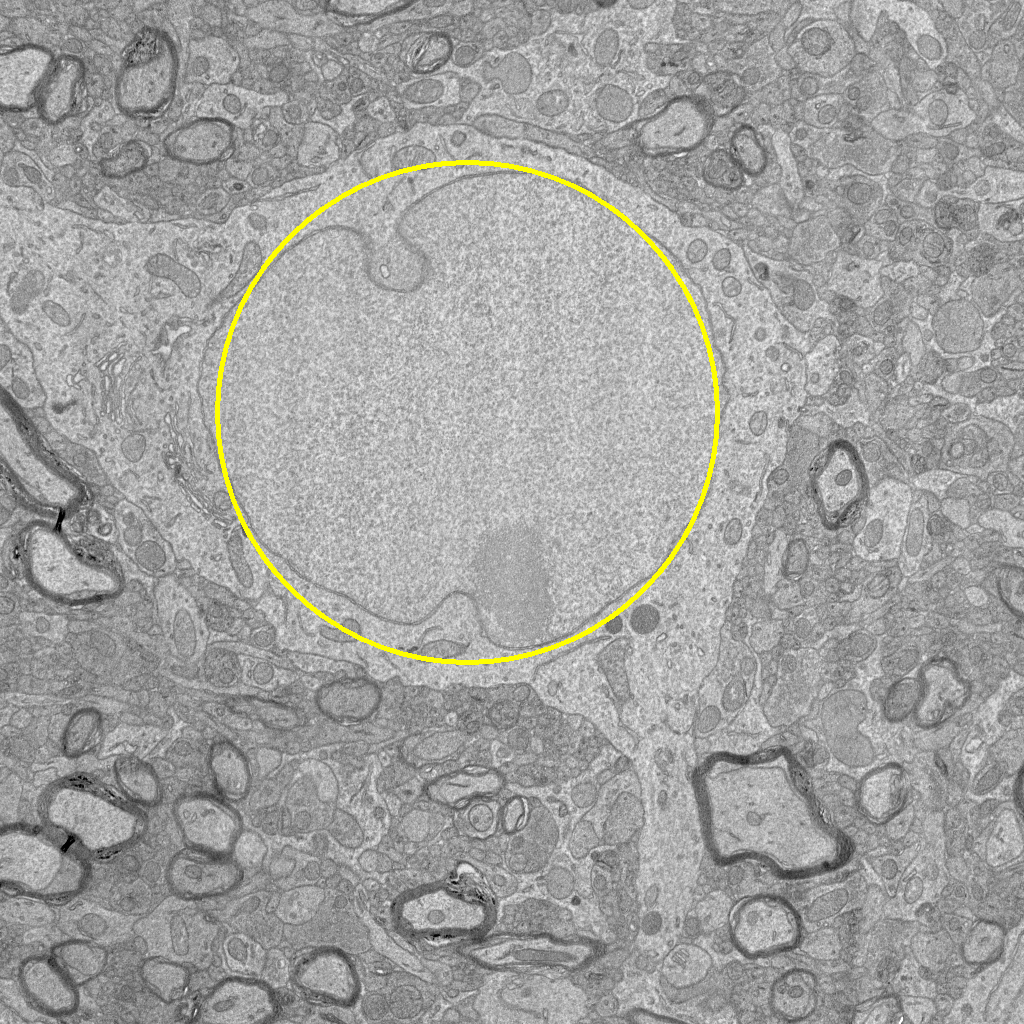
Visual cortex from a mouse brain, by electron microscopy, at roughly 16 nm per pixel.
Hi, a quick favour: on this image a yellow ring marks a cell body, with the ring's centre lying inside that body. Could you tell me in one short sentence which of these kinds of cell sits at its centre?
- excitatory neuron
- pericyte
The ring's centre lies in an excitatory neuron.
